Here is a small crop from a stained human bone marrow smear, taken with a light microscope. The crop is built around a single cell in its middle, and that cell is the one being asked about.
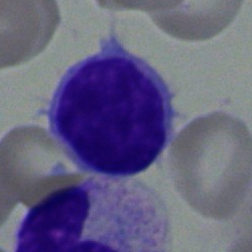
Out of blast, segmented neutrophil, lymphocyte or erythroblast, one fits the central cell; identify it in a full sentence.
In the central position of this crop, the cell is a lymphocyte.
